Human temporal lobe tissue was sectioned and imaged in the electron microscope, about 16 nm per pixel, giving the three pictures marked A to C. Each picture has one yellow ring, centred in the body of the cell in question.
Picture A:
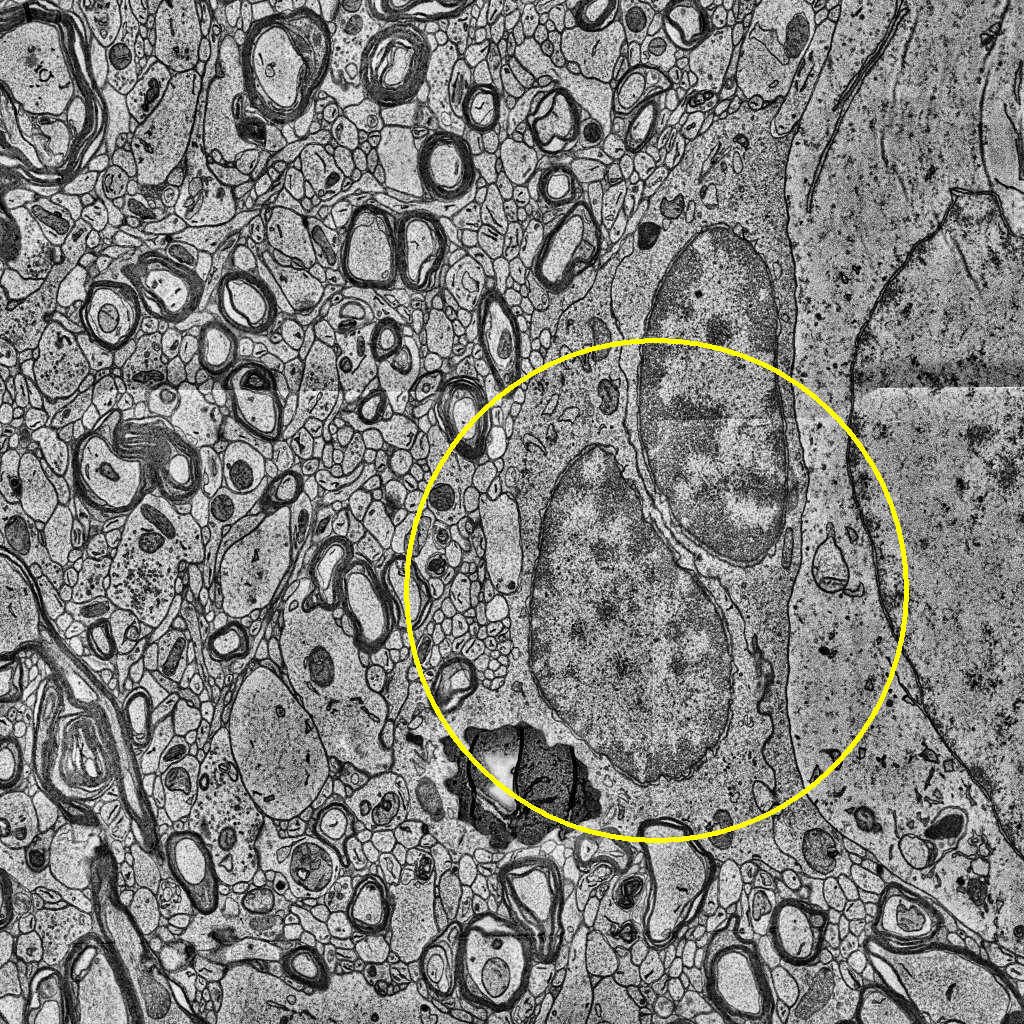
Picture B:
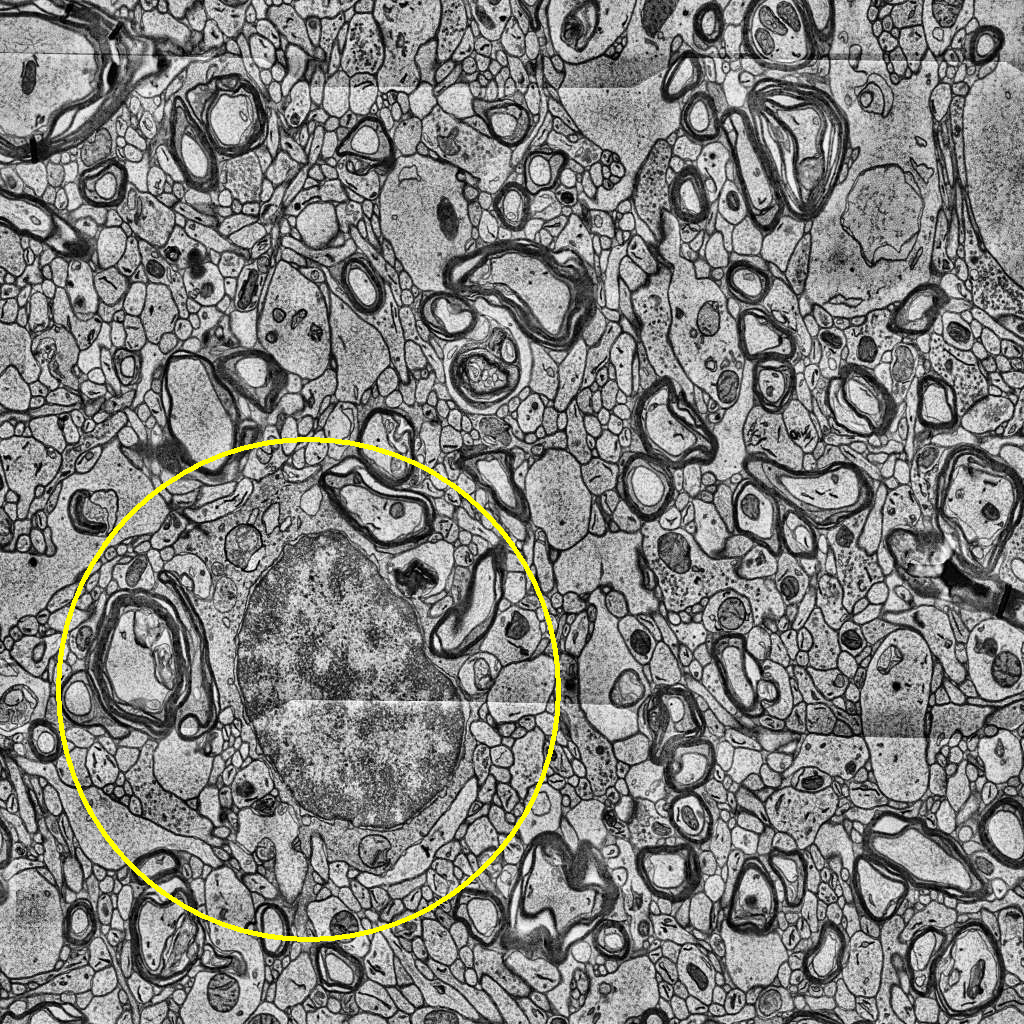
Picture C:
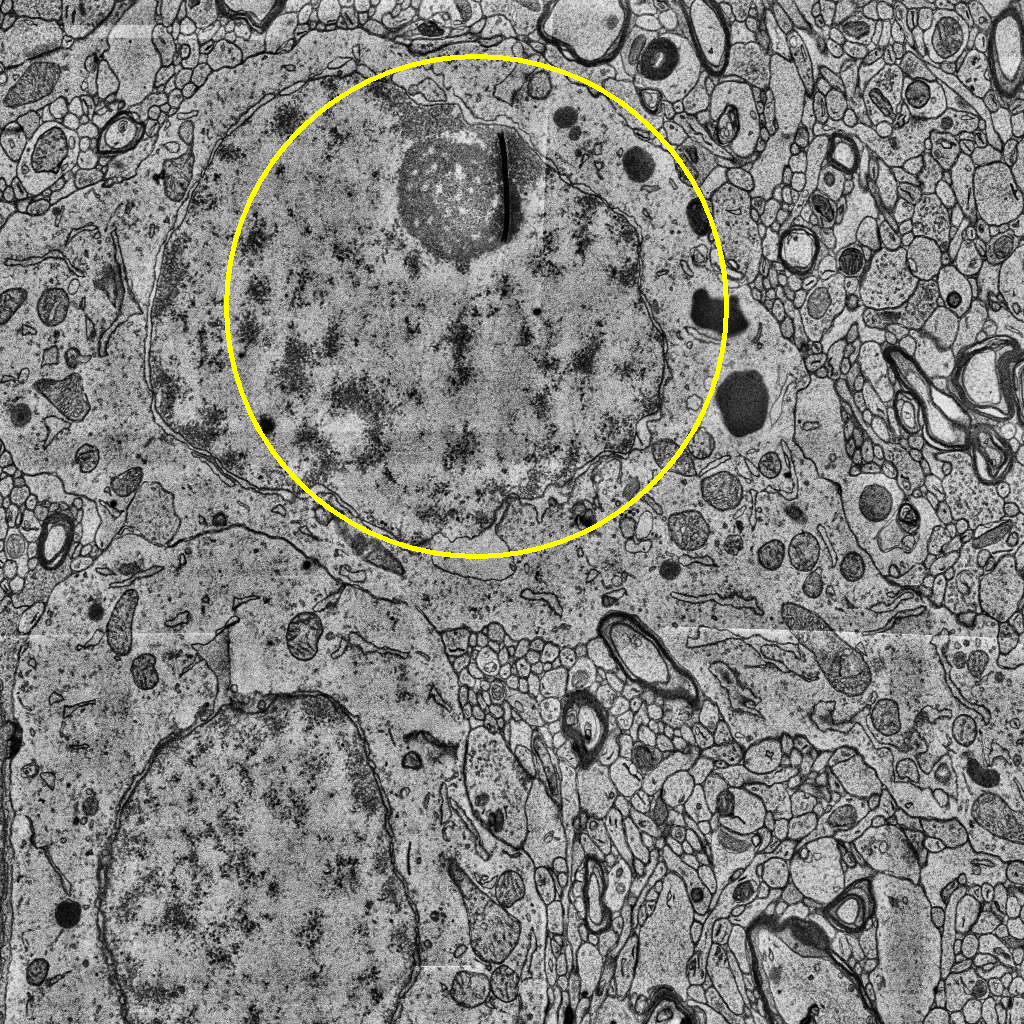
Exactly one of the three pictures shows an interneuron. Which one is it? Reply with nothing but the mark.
C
